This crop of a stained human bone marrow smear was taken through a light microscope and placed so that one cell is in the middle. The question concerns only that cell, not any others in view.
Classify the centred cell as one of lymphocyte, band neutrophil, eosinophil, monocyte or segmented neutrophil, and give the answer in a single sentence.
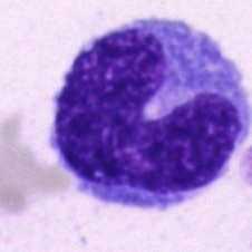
The crop's centre is taken up by a monocyte.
